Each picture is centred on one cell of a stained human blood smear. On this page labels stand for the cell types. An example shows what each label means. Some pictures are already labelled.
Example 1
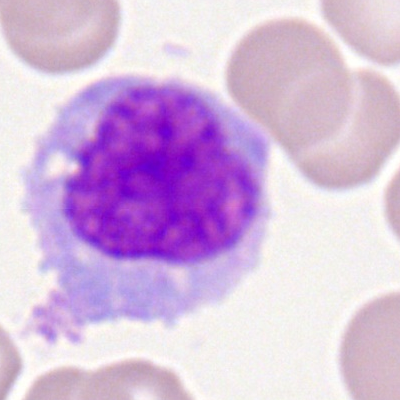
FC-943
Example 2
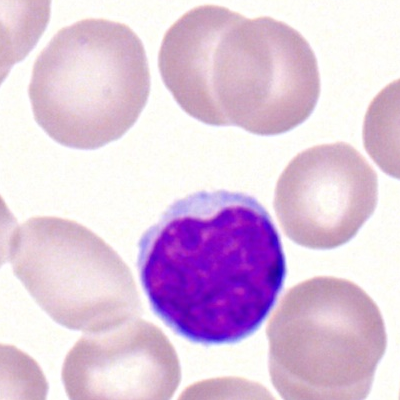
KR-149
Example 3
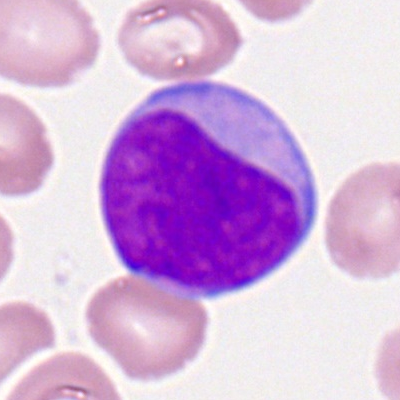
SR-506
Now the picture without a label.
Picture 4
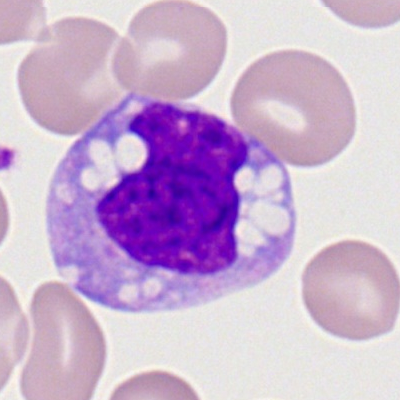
FC-943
